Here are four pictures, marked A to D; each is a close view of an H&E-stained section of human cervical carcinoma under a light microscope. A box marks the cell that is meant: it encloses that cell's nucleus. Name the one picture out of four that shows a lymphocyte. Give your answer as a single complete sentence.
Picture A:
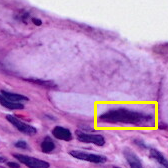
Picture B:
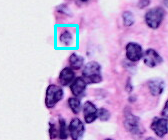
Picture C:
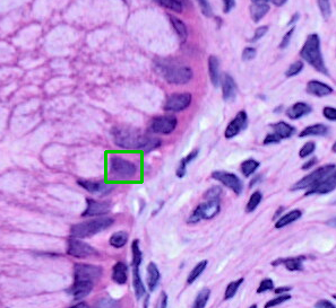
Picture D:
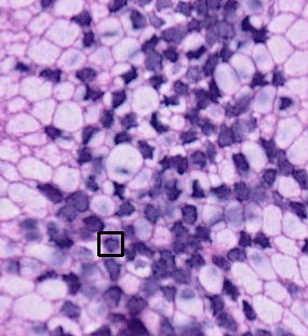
Picture B shows the lymphocyte.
